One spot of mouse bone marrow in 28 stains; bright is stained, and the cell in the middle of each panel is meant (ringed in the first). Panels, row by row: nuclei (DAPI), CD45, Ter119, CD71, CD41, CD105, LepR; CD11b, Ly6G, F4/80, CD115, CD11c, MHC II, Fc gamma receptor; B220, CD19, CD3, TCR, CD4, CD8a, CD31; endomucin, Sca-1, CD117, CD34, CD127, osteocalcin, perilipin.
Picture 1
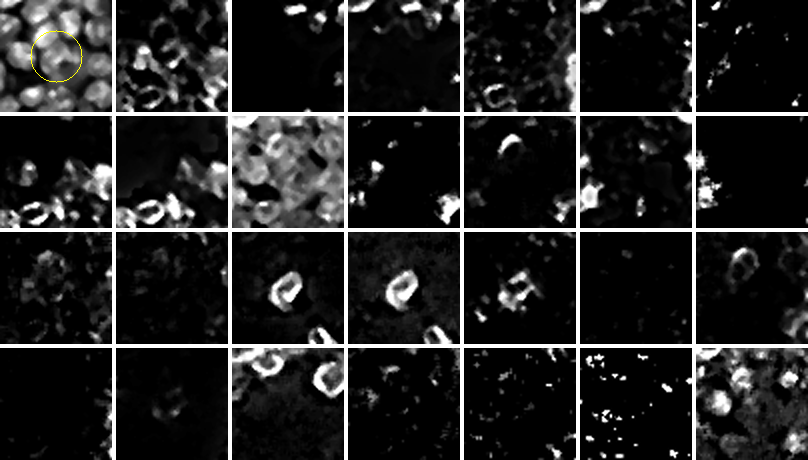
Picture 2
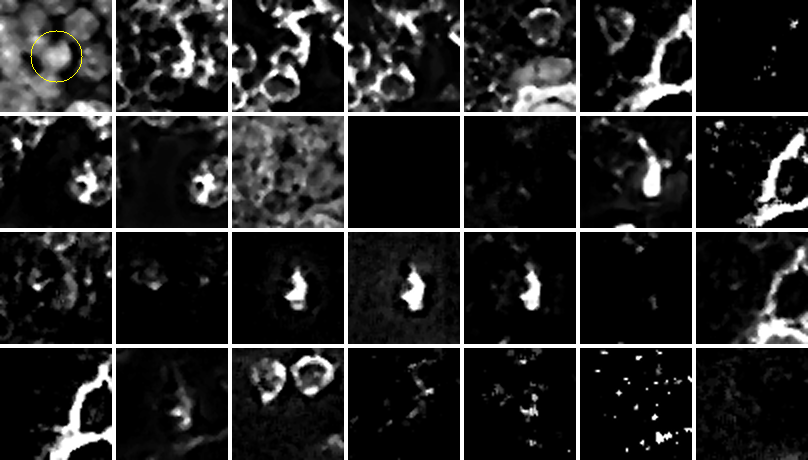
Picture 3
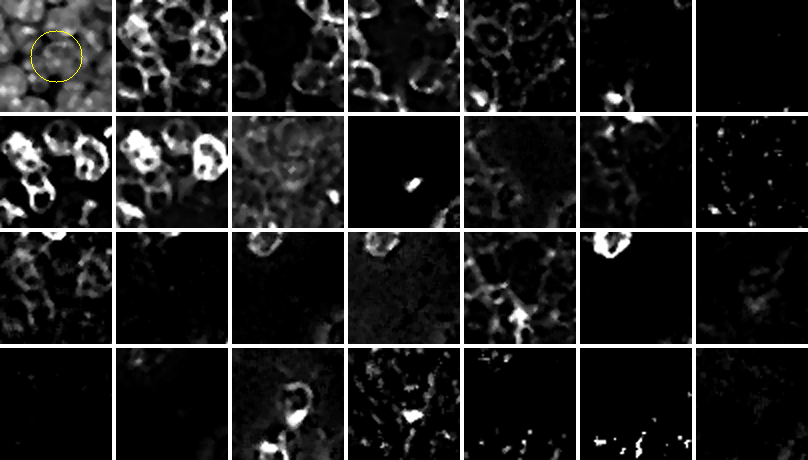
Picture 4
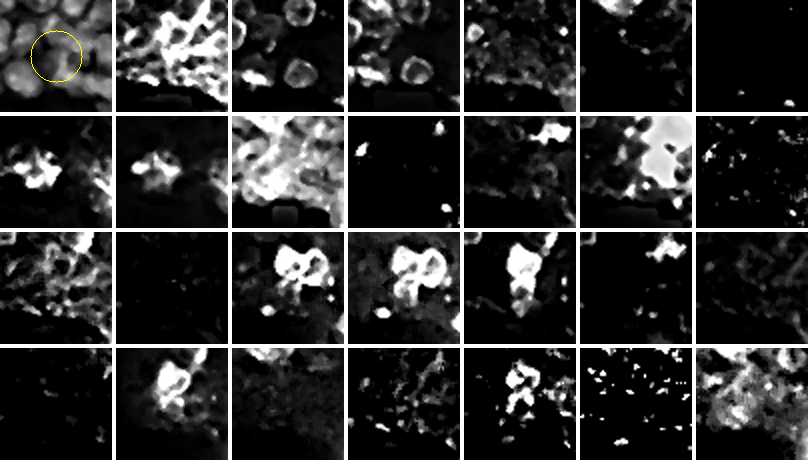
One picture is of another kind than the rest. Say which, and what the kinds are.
Picture 3 shows a common myeloid progenitor; the rest show CD4 T cells.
